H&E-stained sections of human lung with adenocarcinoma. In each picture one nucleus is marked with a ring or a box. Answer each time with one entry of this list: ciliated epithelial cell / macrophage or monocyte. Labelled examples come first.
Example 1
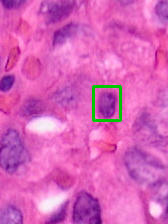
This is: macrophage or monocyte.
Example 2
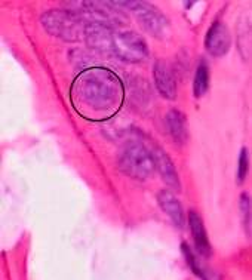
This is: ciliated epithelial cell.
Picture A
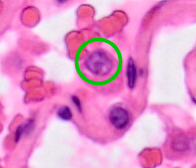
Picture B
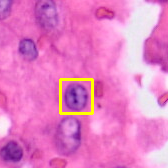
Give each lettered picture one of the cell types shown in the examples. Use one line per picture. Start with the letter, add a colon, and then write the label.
A: macrophage or monocyte.
B: macrophage or monocyte.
